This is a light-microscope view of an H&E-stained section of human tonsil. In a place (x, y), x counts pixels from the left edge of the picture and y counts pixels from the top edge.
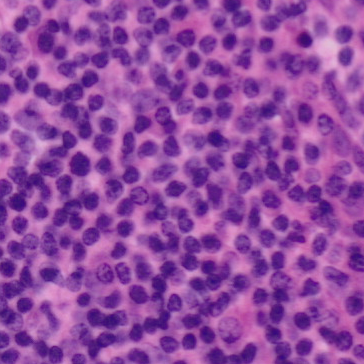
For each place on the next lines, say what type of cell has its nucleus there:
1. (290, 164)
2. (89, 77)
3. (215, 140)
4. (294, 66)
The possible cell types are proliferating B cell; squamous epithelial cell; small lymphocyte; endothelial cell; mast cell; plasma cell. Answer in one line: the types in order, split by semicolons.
small lymphocyte; small lymphocyte; small lymphocyte; plasma cell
